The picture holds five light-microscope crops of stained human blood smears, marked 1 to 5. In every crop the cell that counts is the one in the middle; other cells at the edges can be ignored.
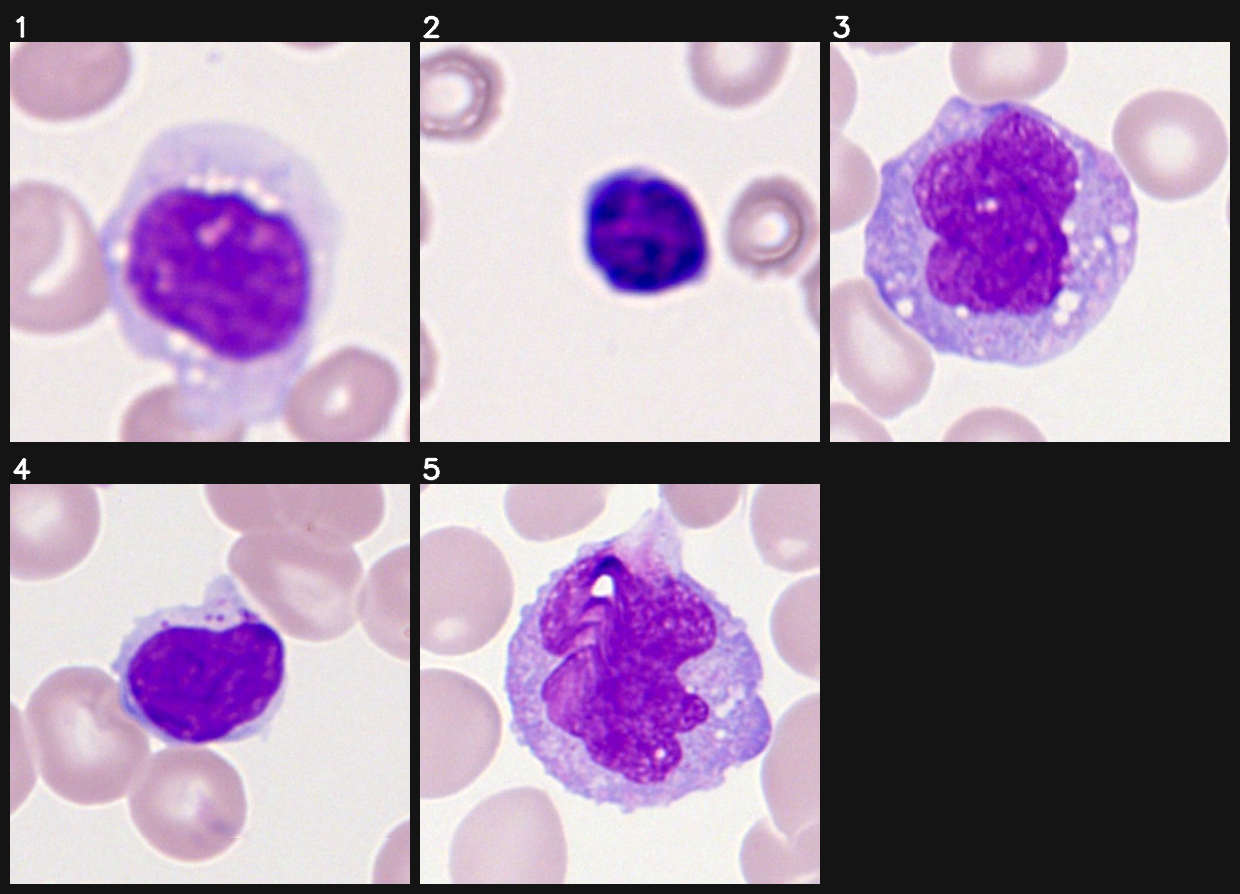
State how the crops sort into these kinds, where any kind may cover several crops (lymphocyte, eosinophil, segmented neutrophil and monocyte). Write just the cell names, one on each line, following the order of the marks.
monocyte
lymphocyte
monocyte
lymphocyte
monocyte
